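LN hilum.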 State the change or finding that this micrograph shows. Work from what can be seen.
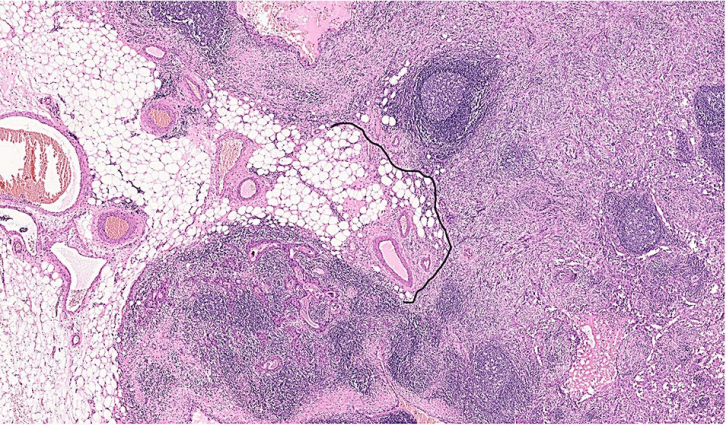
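Dense purple lymphoid tissue with rounded follicles lies beside clear, empty-looking fat cells. Thick-walled vessels with pink walls lie within the fat next to the lymphoid tissue. The answer: lymphoid parenchyma mingling with large vessels and adipose tissue.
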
